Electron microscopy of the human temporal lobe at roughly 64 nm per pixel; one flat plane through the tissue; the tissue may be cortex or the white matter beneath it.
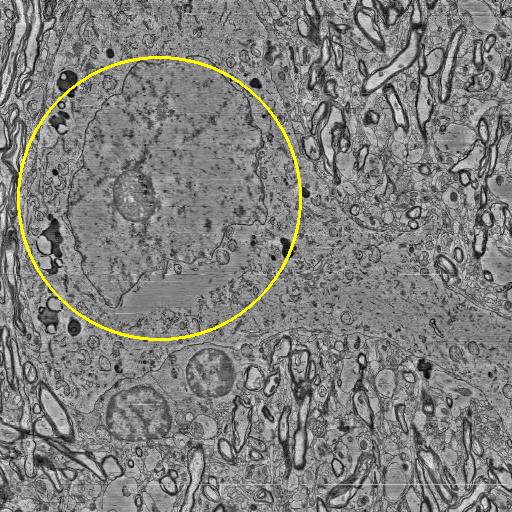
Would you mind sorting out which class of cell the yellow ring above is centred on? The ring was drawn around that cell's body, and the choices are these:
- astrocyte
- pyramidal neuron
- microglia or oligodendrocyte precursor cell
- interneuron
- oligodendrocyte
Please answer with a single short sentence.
This is the cell body of a pyramidal neuron.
